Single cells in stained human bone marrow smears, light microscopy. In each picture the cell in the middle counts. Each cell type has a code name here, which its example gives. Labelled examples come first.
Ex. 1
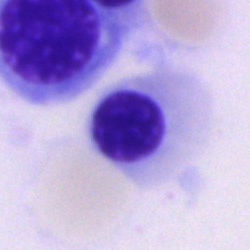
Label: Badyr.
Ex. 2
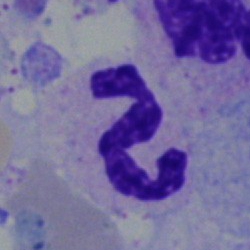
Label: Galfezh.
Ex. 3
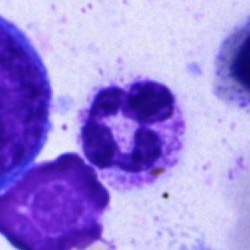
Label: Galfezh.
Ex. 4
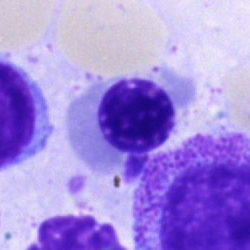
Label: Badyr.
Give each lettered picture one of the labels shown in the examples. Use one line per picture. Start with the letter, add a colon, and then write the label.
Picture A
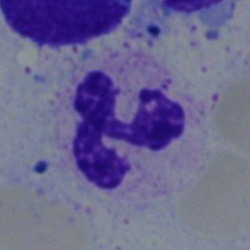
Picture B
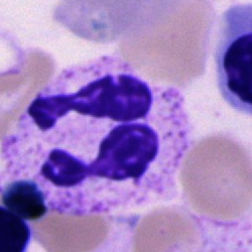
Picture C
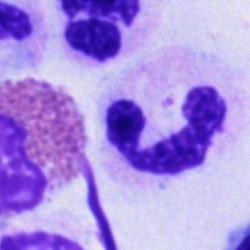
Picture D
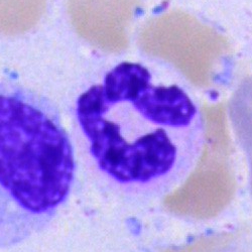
A: Galfezh.
B: Galfezh.
C: Galfezh.
D: Galfezh.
